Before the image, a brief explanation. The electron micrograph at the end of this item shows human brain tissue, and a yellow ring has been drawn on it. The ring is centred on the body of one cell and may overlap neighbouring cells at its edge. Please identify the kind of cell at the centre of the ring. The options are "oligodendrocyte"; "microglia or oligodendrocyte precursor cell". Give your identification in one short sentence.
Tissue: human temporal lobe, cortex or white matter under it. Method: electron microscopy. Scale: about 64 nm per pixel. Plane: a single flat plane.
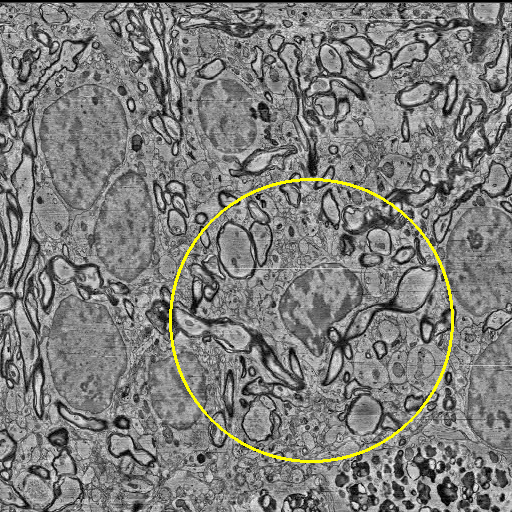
The ring has been placed around a microglial cell or oligodendrocyte precursor cell.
